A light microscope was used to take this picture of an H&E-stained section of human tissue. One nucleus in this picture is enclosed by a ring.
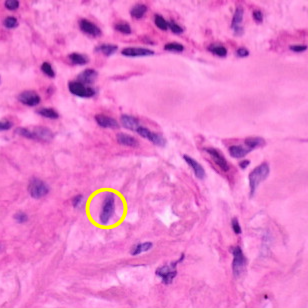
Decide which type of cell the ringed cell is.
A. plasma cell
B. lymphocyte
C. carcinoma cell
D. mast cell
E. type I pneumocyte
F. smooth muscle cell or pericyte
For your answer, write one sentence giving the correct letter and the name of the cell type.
Here the ringed cell is a smooth muscle cell or pericyte, which makes option F correct.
